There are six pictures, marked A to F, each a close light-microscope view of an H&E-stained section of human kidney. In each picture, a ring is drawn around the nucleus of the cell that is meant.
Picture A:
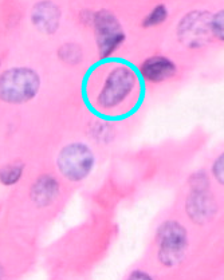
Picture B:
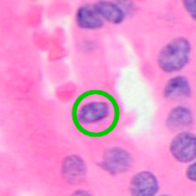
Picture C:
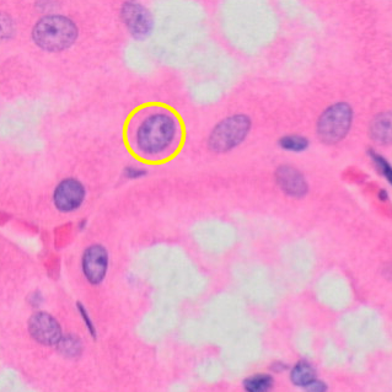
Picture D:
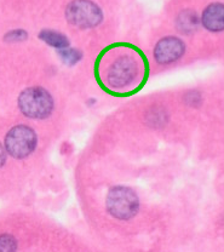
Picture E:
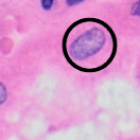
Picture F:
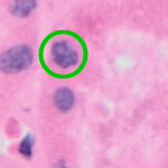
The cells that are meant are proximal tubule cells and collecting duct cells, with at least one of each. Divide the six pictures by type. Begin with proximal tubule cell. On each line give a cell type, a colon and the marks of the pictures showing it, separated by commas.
proximal tubule cell: C, D, E, F
collecting duct cell: A, B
